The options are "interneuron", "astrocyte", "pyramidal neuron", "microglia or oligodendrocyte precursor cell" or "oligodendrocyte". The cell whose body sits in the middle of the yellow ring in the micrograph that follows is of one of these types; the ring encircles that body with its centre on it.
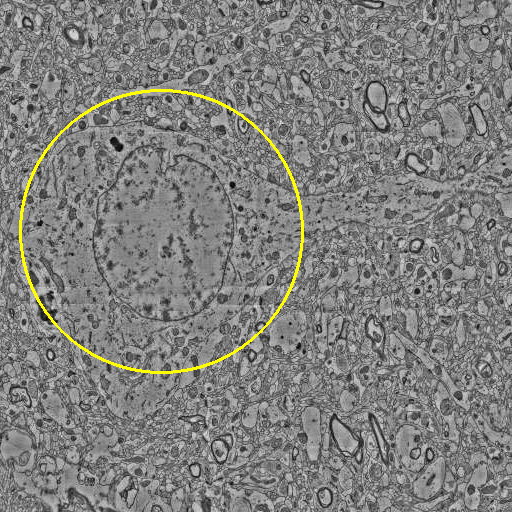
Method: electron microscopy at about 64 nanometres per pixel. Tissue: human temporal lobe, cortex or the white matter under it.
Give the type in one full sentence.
Going by the micrograph, the cell centred in the yellow ring is a pyramidal neuron.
